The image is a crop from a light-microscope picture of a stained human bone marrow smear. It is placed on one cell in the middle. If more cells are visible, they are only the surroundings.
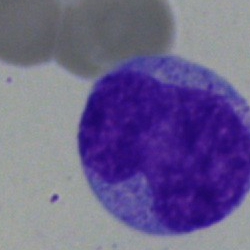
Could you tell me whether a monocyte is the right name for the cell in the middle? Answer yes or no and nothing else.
yes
